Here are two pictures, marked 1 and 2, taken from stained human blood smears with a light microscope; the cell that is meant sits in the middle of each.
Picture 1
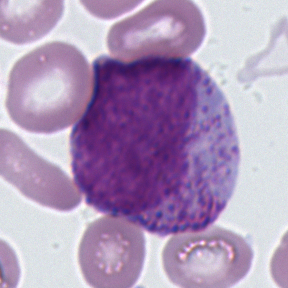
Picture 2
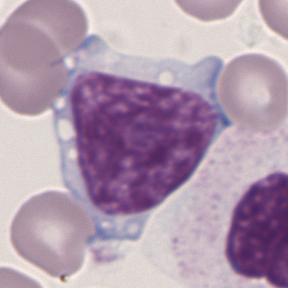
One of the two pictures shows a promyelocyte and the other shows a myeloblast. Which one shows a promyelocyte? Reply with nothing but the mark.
1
